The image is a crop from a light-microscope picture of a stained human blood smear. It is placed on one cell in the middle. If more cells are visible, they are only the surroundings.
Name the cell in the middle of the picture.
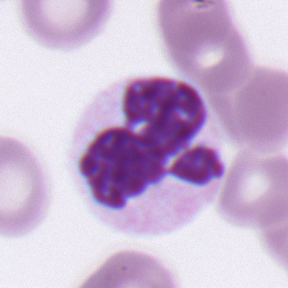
neutrophil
